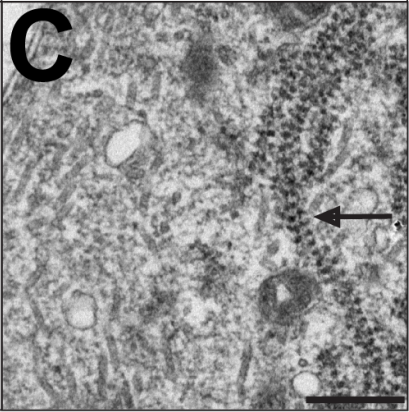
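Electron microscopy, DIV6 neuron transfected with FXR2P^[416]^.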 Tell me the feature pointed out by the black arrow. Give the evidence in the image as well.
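A long linear structure runs through the cytoplasm. Its length is lined by regularly spaced dense granules.
Hence: fibrils decorated with ribosomes.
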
